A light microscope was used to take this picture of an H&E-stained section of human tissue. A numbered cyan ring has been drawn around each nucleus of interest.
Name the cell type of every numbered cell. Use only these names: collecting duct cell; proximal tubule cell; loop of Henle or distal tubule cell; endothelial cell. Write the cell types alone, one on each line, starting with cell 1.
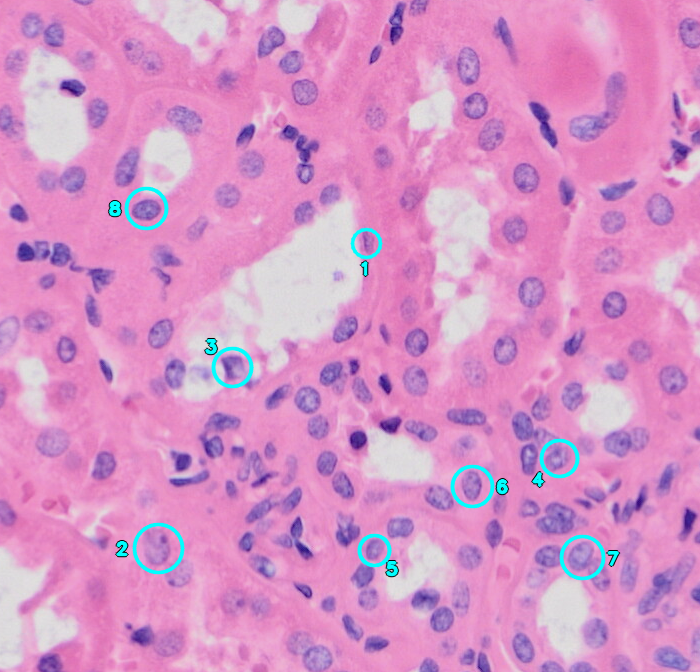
loop of Henle or distal tubule cell
proximal tubule cell
loop of Henle or distal tubule cell
collecting duct cell
collecting duct cell
collecting duct cell
collecting duct cell
loop of Henle or distal tubule cell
